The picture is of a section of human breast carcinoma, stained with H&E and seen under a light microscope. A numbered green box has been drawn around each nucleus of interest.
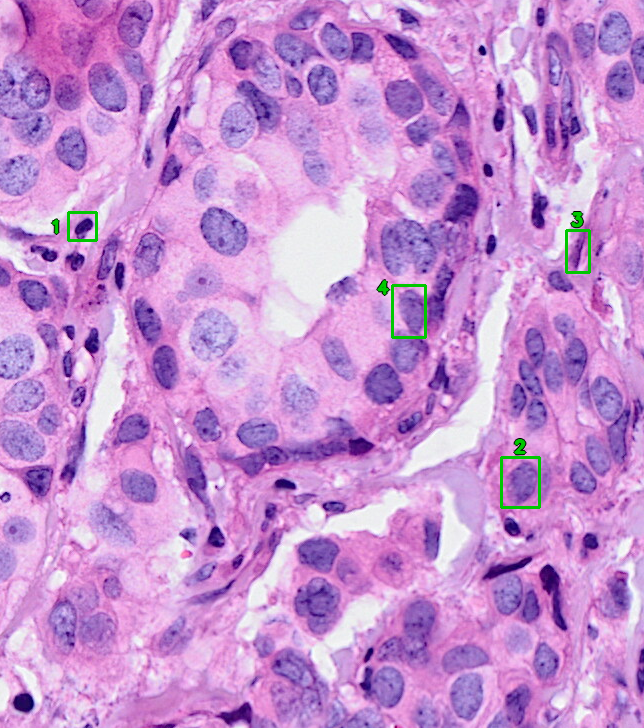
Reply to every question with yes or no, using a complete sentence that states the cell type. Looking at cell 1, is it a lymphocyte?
Yes, cell 1 is a lymphocyte in this tissue section.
